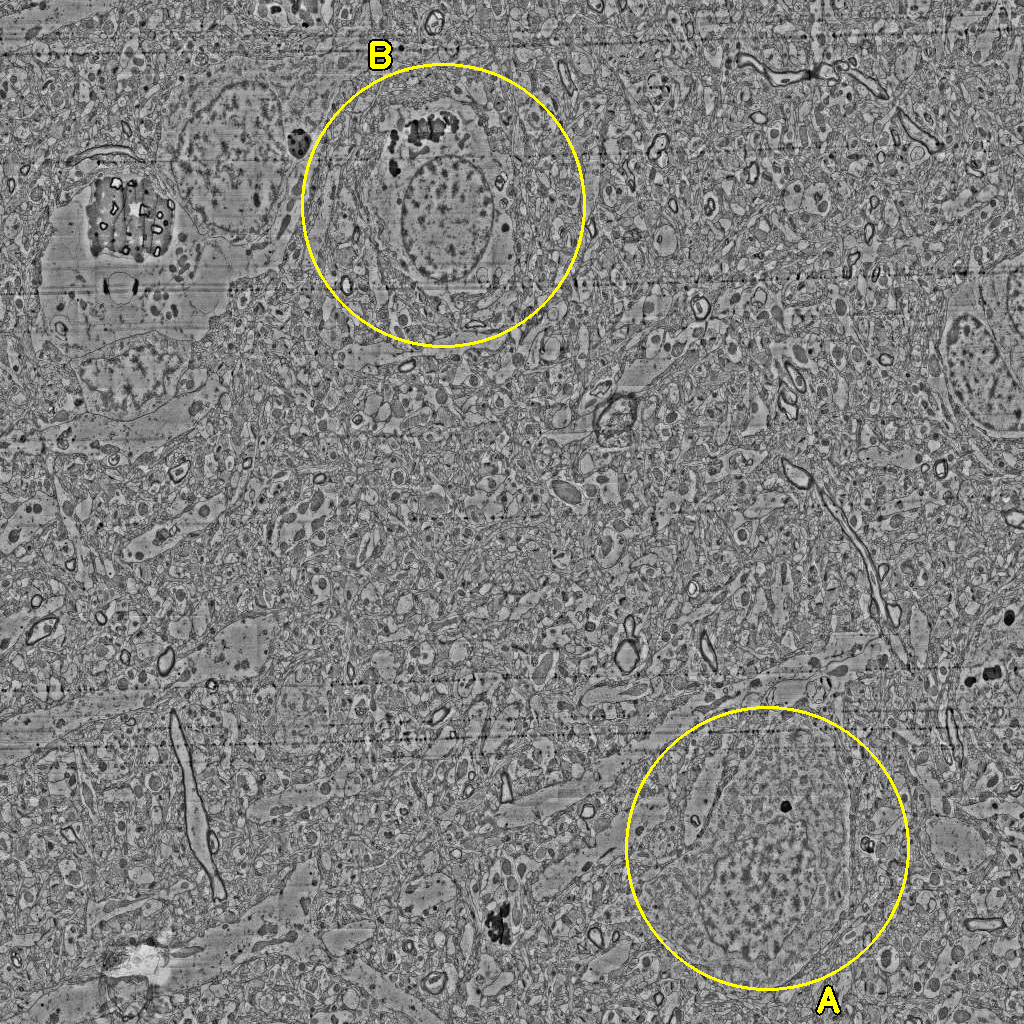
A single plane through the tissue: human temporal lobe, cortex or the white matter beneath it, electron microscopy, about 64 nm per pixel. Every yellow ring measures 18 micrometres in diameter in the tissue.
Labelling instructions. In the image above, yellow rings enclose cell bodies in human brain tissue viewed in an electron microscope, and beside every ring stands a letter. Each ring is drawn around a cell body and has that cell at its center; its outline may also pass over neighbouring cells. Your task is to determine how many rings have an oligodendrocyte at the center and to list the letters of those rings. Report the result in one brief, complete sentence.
Zero, then, is the count, as no ring is centred on an oligodendrocyte.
